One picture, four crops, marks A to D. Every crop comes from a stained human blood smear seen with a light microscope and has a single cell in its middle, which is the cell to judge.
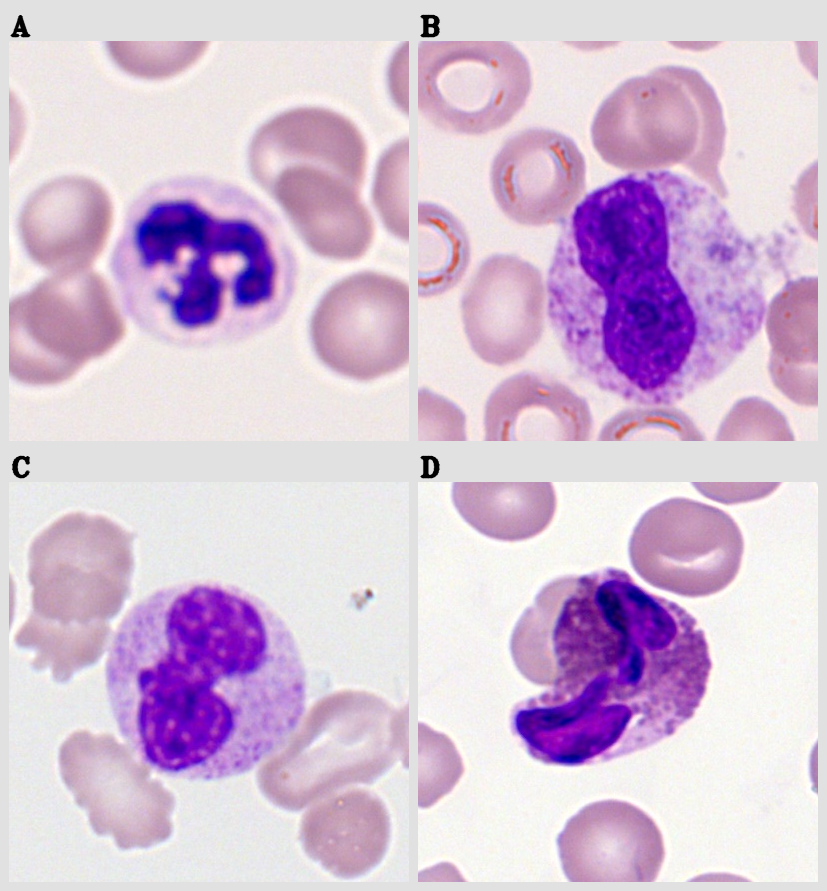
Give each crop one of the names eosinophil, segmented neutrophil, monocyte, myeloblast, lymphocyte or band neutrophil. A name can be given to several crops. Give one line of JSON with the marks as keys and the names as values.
{"A": "segmented neutrophil", "B": "band neutrophil", "C": "monocyte", "D": "eosinophil"}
